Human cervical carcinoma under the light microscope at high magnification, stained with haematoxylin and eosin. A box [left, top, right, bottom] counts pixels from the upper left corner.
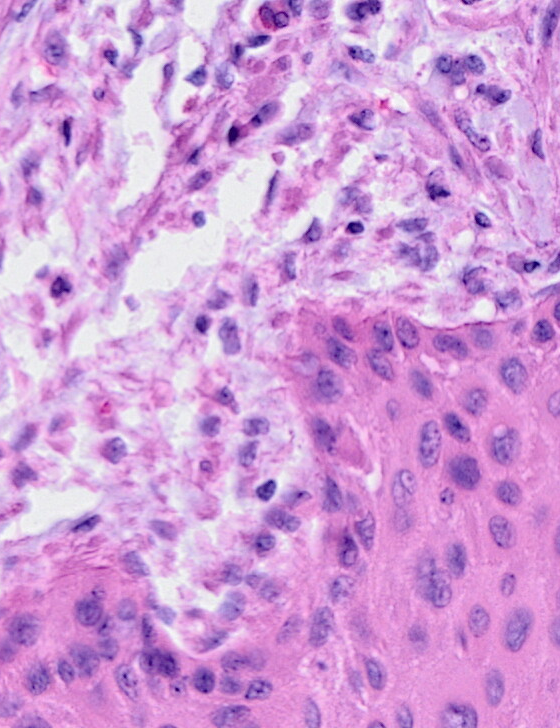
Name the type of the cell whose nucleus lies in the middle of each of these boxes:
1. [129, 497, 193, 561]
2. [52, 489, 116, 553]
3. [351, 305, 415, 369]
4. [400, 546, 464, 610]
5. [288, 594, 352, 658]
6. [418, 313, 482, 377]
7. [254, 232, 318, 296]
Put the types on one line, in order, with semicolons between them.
fibroblast; fibroblast; squamous carcinoma cell; squamous carcinoma cell; squamous carcinoma cell; squamous carcinoma cell; fibroblast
